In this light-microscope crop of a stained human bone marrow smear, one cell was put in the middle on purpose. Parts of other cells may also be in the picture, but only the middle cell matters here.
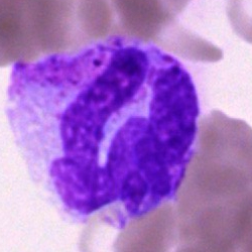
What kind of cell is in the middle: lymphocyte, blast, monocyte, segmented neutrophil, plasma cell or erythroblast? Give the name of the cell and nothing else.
monocyte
